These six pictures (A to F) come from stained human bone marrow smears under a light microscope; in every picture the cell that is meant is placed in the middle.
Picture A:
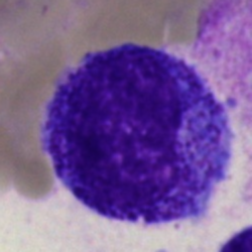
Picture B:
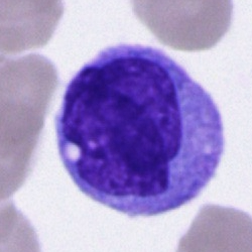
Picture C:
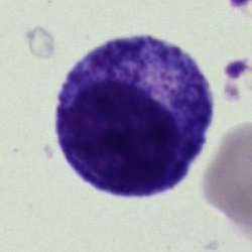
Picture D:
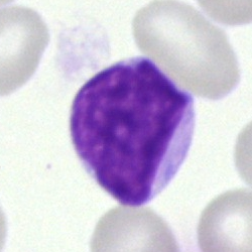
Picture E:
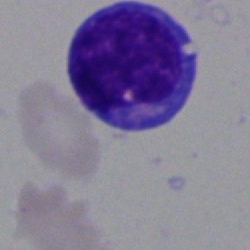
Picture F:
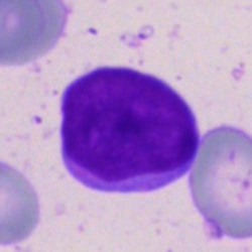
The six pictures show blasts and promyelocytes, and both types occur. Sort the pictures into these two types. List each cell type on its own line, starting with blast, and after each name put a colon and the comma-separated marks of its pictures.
blast: B, D, E, F
promyelocyte: A, C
